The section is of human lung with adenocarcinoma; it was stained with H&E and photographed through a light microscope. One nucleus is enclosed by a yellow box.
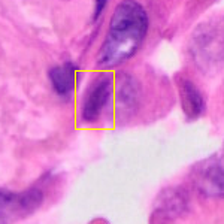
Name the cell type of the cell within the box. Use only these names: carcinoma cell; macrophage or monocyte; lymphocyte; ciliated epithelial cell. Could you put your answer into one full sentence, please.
By cell type, the cell within the box is a carcinoma cell.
